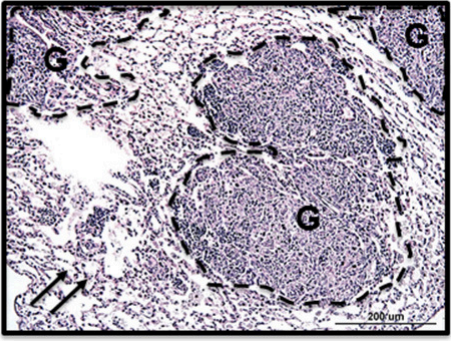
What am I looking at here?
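Large, sharply bounded nodules packed with densely crowded cells with purple nuclei fill much of the field, surrounded by thickened pinkish tissue, and hardly any open air spaces remain. These nodules are granulomas in the lung parenchyma, and at the lower left the air spaces are small and closed, areas of alveolar collapse.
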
